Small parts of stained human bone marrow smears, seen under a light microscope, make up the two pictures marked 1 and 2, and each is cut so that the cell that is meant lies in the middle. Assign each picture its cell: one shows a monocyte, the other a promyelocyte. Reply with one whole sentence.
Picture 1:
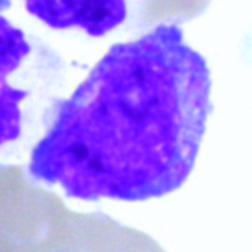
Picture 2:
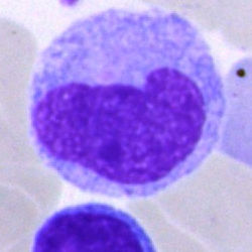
In picture 1 the cell is a promyelocyte; in picture 2, a monocyte.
